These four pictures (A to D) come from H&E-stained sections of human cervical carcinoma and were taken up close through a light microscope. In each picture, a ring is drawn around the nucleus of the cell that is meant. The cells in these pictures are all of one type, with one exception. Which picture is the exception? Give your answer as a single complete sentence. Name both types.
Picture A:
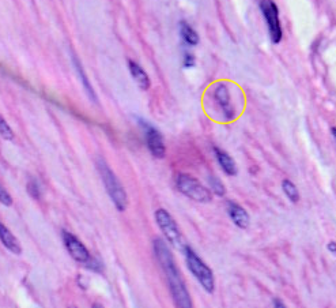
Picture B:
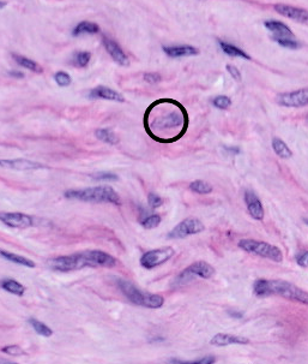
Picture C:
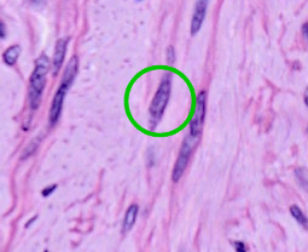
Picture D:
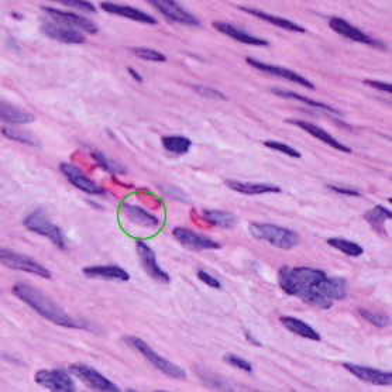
Unlike the rest, which show smooth muscle cells, picture D shows an endothelial cell.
